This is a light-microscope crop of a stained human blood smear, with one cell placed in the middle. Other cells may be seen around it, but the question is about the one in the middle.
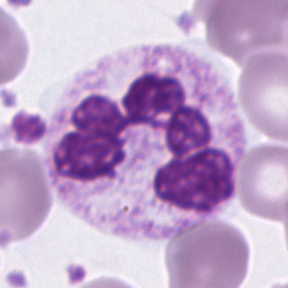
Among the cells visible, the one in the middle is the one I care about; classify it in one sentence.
At the center of the crop sits a neutrophil.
